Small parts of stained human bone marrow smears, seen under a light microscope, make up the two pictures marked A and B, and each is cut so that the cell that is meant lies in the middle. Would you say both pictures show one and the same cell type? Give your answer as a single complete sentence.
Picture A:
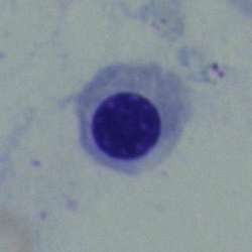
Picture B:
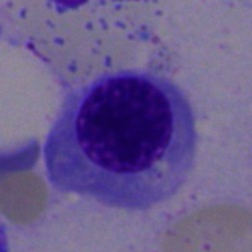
Yes; the cells in both pictures are erythroblasts.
